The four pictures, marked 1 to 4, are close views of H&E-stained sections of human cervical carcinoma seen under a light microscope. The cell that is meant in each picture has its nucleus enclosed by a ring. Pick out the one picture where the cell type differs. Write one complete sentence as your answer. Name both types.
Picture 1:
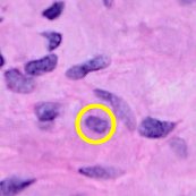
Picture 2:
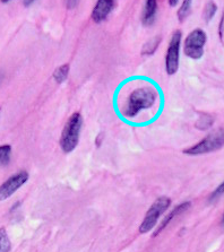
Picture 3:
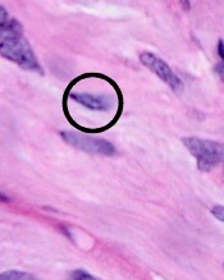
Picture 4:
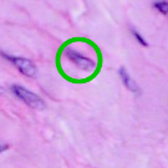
The others show fibroblasts, but picture 4 shows a smooth muscle cell.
